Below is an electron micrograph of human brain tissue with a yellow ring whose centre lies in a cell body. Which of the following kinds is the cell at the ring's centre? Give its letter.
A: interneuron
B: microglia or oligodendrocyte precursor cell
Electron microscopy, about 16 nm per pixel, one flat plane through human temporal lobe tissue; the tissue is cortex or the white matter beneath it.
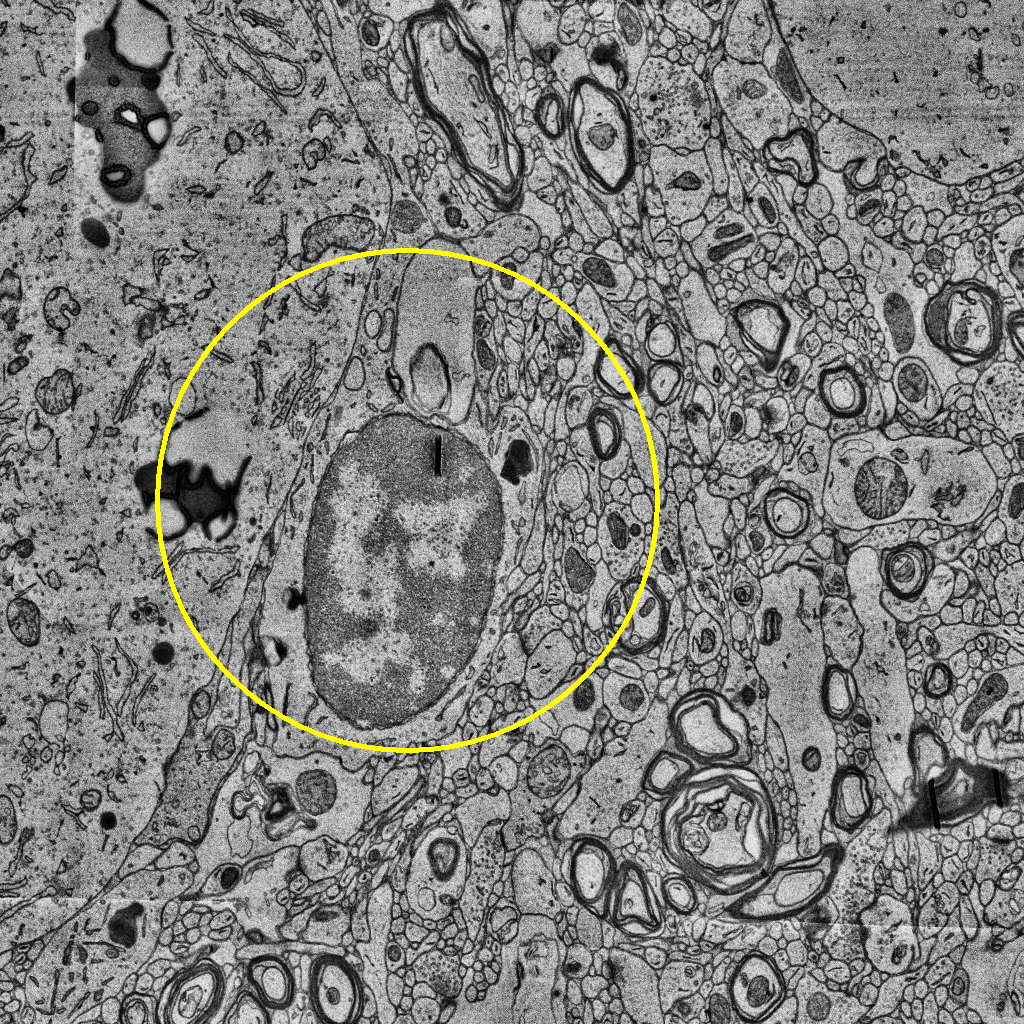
B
